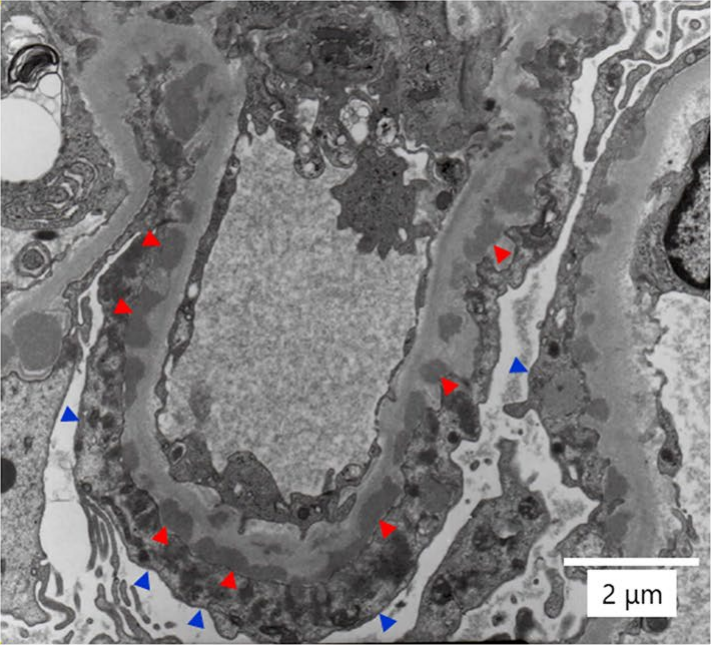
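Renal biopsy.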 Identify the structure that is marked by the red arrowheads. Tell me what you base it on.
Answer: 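Dark granular clumps lie within the thick grey band that outlines the capillary loop. The clumps sit on the outer side of the band, toward the urinary space rather than the capillary lumen. The answer: granular electron-dense deposits.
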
